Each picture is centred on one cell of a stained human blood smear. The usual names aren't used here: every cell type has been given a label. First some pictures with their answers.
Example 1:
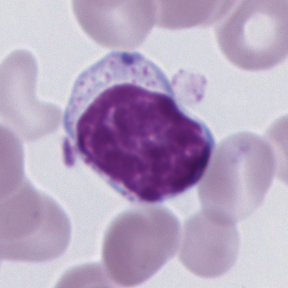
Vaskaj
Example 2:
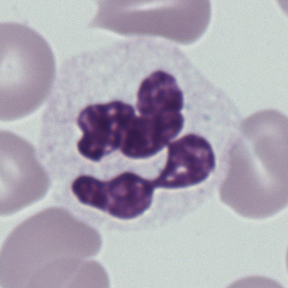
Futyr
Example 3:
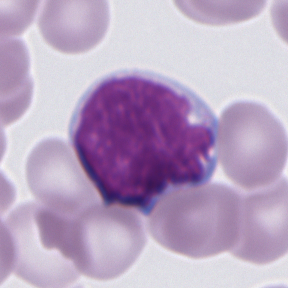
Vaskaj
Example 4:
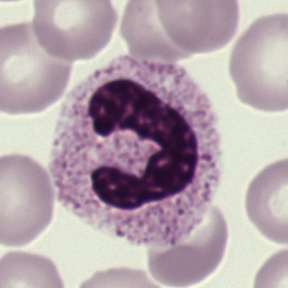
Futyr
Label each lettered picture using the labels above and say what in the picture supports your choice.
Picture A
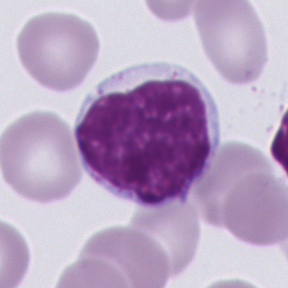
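Vaskaj. The cytoplasm forms only a thin rim around the nucleus.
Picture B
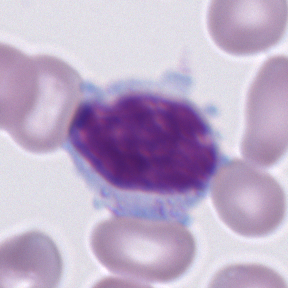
Vaskaj. The nucleus fills most of the cell.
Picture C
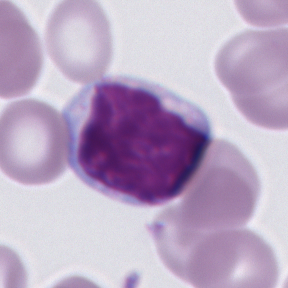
Vaskaj. The cytoplasm forms a narrow pale bluish rim around the nucleus.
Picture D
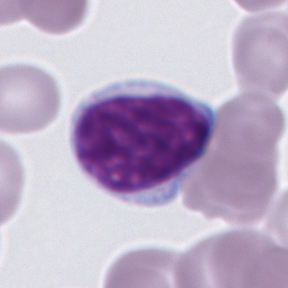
Vaskaj. The cytoplasm is a narrow pale blue rim around the nucleus.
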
